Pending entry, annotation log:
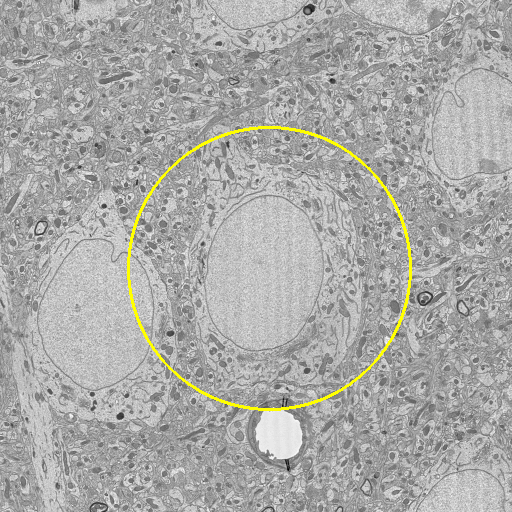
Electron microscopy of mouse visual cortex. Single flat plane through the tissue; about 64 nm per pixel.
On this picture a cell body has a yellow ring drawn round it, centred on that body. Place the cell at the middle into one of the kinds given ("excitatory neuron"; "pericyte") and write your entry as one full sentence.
The cell body at the middle of the yellow ring belongs to an excitatory neuron.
